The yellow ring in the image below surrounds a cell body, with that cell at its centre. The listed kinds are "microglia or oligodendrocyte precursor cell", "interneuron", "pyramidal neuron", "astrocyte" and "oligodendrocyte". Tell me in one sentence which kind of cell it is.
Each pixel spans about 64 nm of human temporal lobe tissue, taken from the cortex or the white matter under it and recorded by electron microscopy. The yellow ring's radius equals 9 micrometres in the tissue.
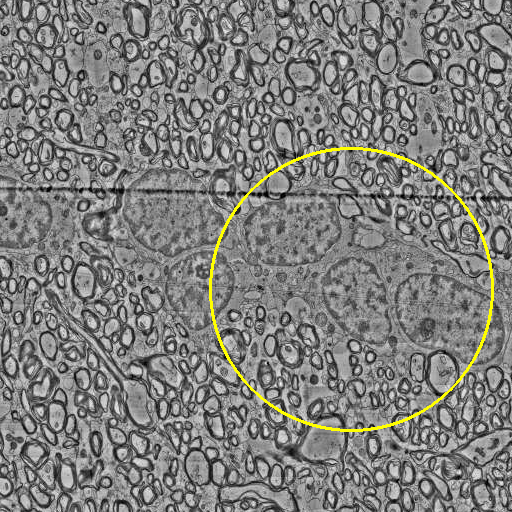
The centre of the ring holds an oligodendrocyte.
